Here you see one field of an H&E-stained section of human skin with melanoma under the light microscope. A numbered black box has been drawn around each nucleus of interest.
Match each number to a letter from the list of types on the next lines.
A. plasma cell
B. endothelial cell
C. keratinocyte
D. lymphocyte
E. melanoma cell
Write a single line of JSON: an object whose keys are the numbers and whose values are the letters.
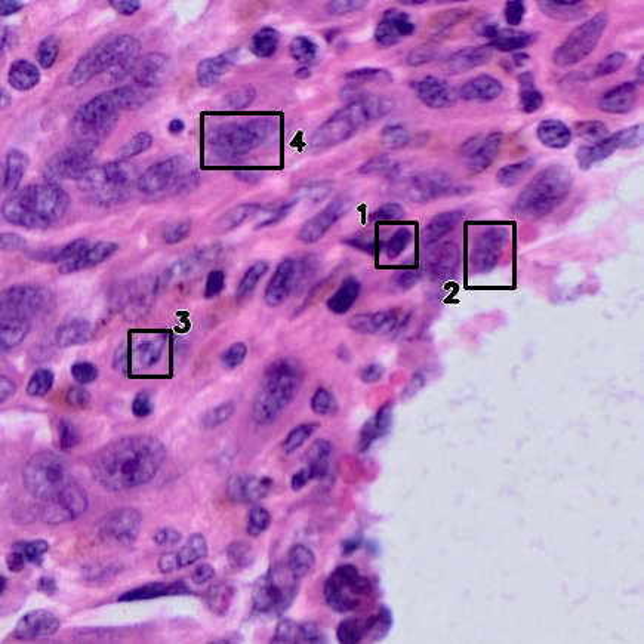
{"1": "D", "2": "E", "3": "B", "4": "E"}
